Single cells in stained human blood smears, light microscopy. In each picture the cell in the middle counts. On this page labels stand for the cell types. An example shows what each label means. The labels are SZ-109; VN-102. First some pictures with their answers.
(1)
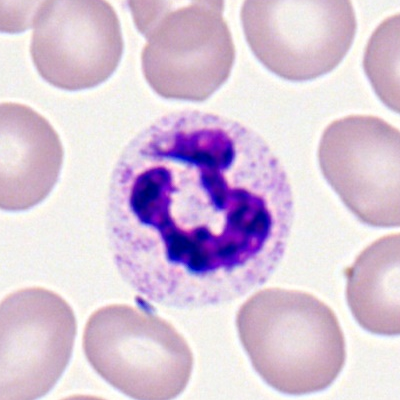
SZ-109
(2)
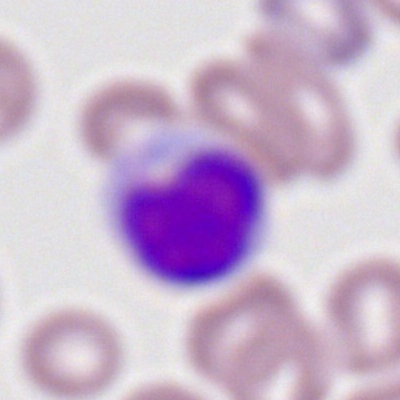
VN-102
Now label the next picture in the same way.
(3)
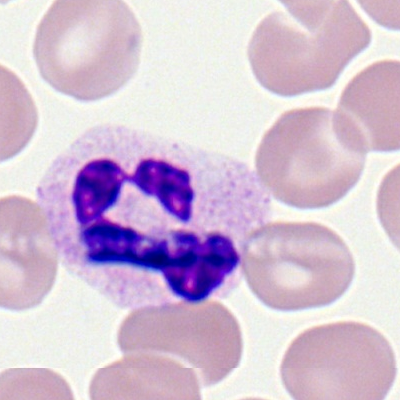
SZ-109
